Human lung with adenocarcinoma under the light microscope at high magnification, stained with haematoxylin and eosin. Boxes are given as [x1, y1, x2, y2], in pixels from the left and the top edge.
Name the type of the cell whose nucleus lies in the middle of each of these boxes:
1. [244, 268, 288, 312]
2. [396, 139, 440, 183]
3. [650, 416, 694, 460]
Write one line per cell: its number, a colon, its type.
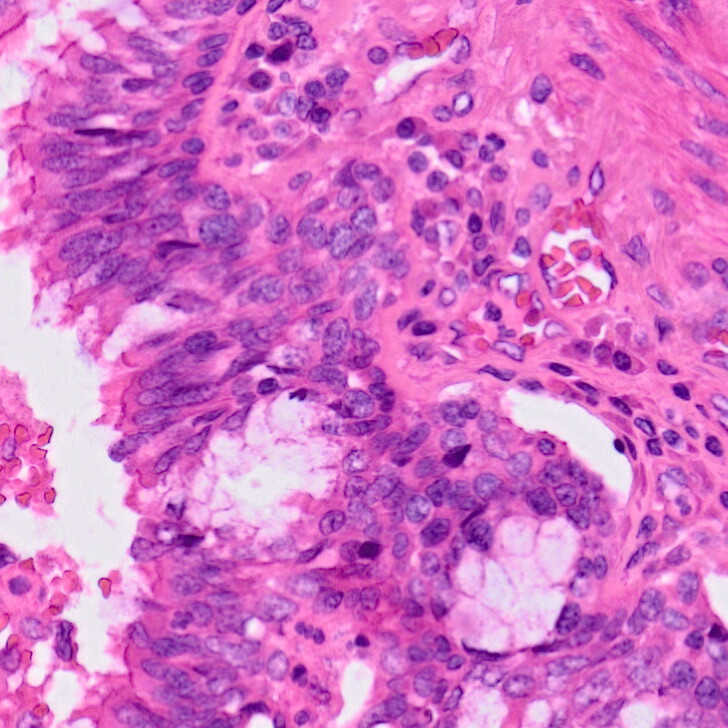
1: ciliated epithelial cell
2: lymphocyte
3: lymphocyte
